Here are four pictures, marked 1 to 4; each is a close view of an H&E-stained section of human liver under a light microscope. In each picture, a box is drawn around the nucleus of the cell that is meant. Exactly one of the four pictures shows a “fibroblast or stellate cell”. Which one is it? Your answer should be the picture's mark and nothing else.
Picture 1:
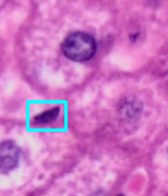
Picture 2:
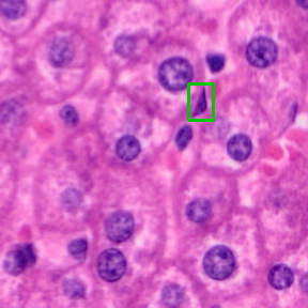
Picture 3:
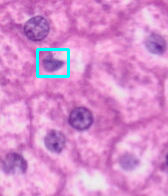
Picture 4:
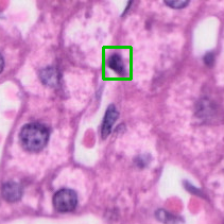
4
